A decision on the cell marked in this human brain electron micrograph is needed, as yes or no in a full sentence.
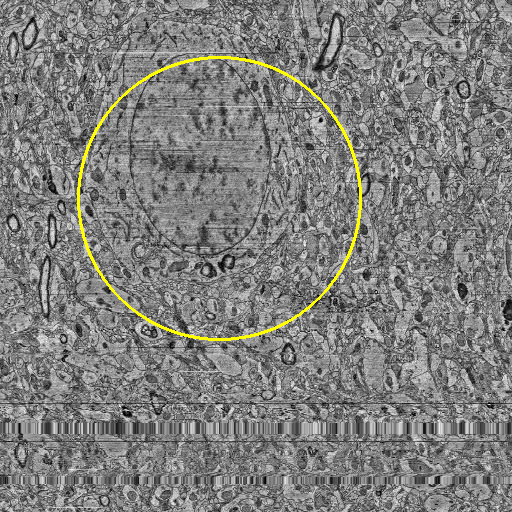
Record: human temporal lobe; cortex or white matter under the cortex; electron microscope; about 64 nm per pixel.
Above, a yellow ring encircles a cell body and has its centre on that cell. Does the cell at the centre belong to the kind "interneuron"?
No, a different kind fits the cell at the centre of the ring in the picture.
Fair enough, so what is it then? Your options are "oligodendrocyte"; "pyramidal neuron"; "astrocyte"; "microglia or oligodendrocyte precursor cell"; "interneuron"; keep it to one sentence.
As it turns out, the cell at the ring centre is a pyramidal neuron.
